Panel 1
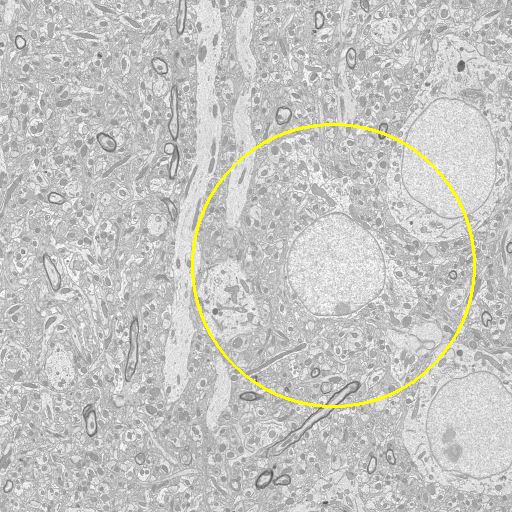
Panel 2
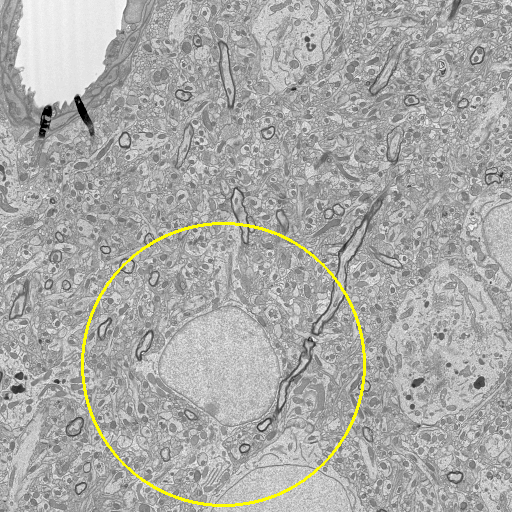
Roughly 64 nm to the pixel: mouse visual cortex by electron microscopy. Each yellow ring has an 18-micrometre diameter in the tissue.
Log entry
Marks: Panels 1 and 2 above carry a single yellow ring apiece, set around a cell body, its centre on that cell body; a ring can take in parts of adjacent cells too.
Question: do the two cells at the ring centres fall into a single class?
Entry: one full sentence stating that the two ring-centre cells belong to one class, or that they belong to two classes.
The two ring-centre cells in Panels 1 and 2 belong to one class.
